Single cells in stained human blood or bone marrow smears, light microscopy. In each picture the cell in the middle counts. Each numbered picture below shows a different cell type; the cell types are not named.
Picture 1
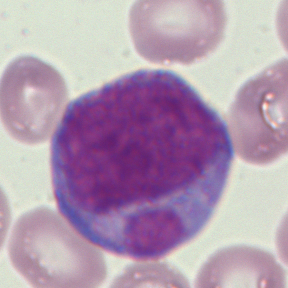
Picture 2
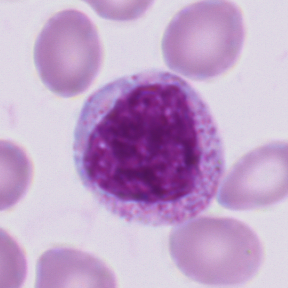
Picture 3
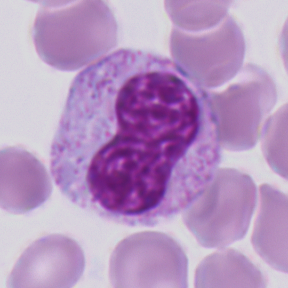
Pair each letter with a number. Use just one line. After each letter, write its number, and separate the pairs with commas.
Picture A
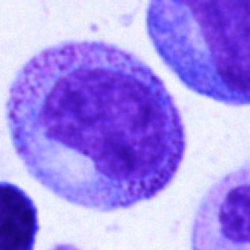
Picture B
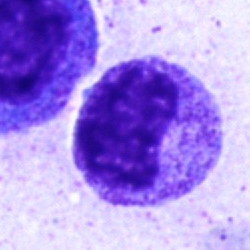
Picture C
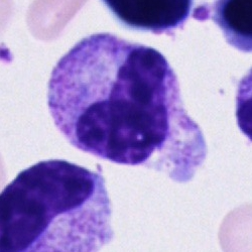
A 3, B 1, C 3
